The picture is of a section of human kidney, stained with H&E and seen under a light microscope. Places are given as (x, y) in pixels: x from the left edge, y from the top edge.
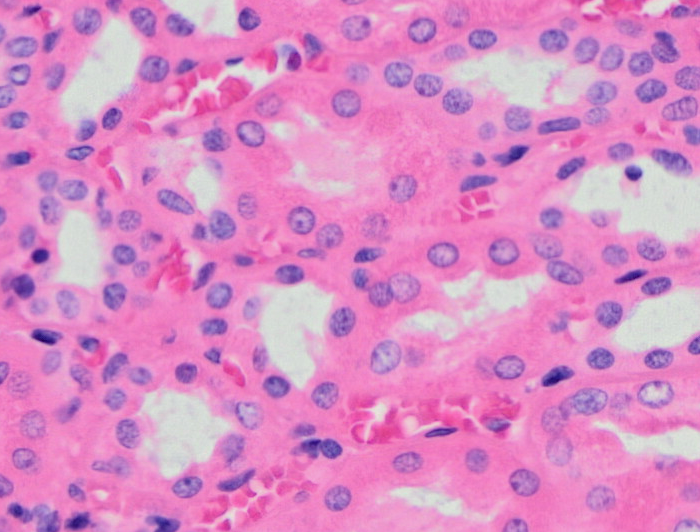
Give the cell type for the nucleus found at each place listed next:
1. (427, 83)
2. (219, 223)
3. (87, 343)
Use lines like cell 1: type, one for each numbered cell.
cell 1: collecting duct cell
cell 2: collecting duct cell
cell 3: endothelial cell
